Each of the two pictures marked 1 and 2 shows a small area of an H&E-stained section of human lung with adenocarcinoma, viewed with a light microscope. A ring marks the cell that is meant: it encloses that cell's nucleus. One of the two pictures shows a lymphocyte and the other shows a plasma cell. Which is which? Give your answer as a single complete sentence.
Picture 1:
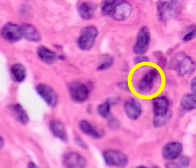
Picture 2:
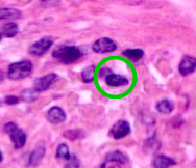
Picture 1 is of a plasma cell, and picture 2 is of a lymphocyte.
